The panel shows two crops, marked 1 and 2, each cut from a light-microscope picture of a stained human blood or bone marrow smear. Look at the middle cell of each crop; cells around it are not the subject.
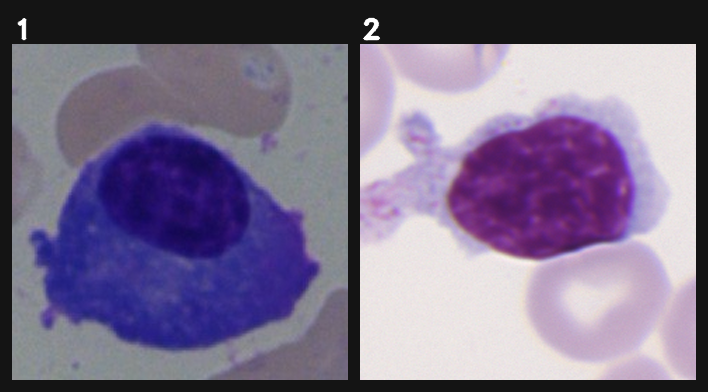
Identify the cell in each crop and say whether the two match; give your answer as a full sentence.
No, a plasma cell is shown in crop 1 and a lymphocyte in crop 2.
